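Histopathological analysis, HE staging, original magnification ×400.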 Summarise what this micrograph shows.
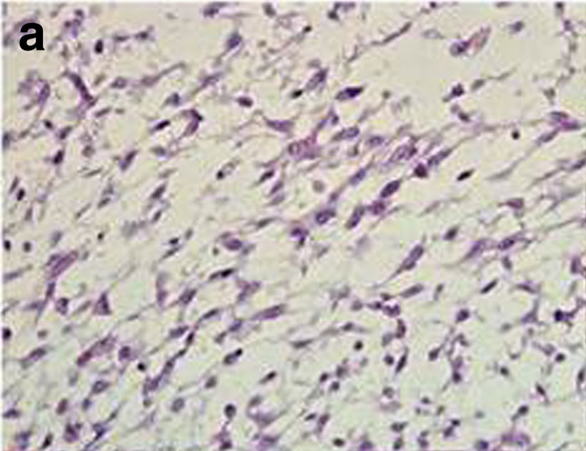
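The cells are elongated, many with tapering ends and thin cytoplasmic extensions that reach out into the surrounding space. Their nuclei are oval to elongated and stain dark purple, and they vary somewhat in size and shape. The cells are spread loosely in a pale, sparse background, so each can be followed on its own. Many of them point in a similar direction, giving a loose streaming look across the field.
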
